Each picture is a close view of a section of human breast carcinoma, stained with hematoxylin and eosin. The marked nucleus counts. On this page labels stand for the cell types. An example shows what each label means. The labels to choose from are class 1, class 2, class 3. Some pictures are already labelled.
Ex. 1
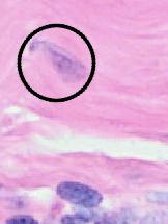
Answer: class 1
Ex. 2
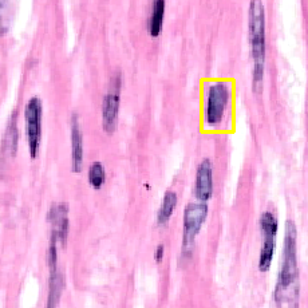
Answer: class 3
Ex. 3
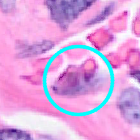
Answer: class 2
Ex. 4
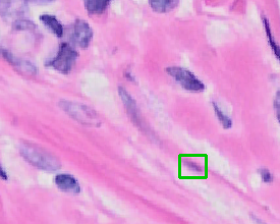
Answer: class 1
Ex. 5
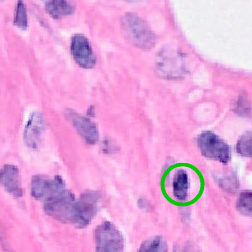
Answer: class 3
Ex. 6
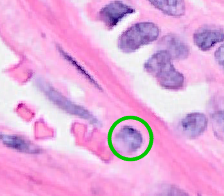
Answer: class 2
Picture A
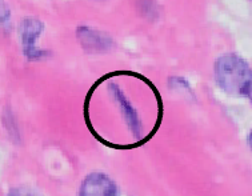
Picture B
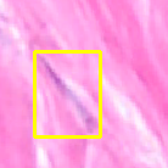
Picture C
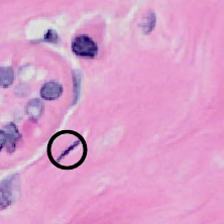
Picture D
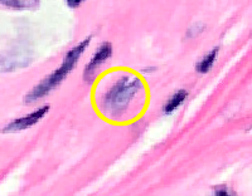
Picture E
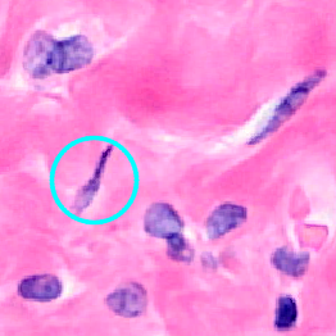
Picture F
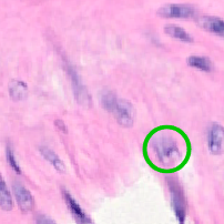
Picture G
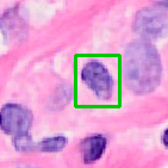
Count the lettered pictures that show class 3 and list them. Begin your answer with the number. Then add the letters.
Count: 1 (G)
